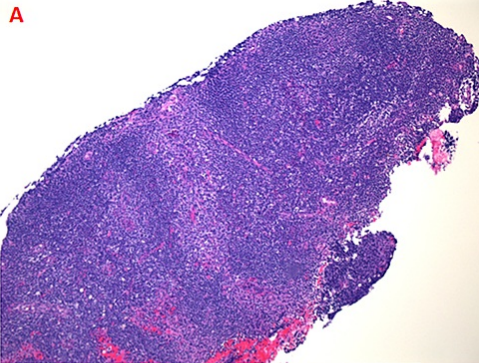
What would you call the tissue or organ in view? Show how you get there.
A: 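A core of densely packed small cells with dark blue nuclei.
Lymph node tissue.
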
